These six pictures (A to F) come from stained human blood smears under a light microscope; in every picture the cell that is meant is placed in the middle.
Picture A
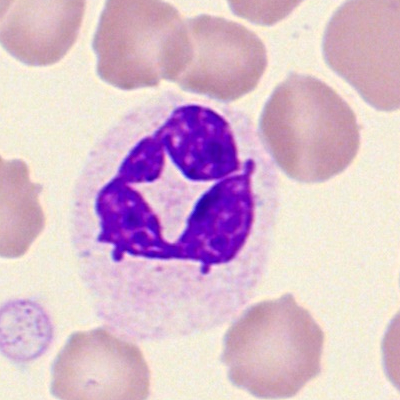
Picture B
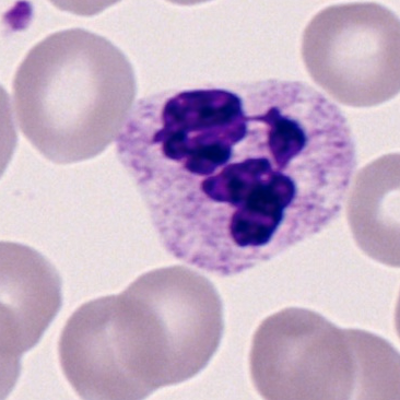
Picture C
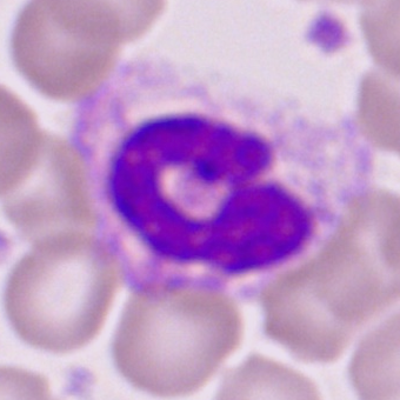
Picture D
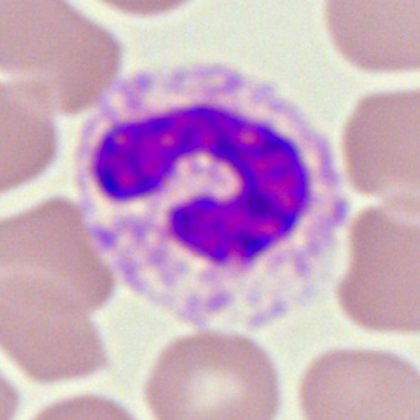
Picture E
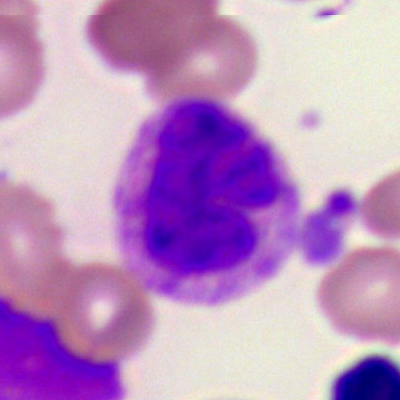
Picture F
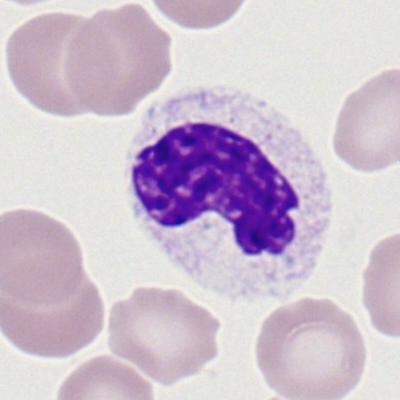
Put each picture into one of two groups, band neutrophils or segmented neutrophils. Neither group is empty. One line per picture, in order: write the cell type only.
segmented neutrophil
segmented neutrophil
band neutrophil
band neutrophil
band neutrophil
band neutrophil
